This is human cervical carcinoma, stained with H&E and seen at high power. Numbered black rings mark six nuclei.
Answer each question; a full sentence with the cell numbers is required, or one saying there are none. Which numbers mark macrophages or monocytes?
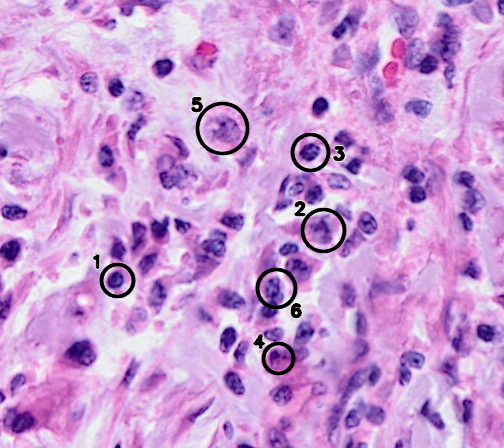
Cells numbered 2, 4 and 5 belong to the group of macrophages or monocytes.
